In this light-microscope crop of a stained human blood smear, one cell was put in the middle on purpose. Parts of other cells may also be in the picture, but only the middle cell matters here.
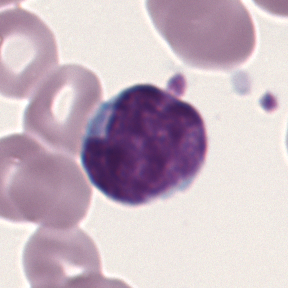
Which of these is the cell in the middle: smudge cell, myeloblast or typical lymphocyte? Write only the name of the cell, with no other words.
typical lymphocyte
